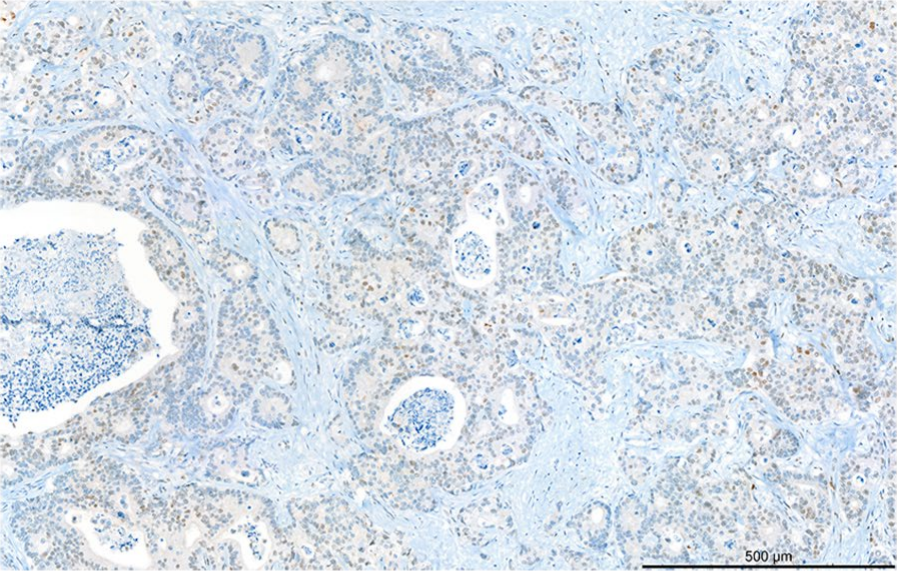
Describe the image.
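The tumour cells are crowded, with round to oval nuclei that are mostly pale, some showing only a faint brownish tint. Numerous small gland spaces lie within the nests, and a large lumen at the left edge and several smaller ones contain blue-staining debris. The stroma holds scattered spindle-shaped cells with elongated nuclei. Strongly brown nuclei are rare.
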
